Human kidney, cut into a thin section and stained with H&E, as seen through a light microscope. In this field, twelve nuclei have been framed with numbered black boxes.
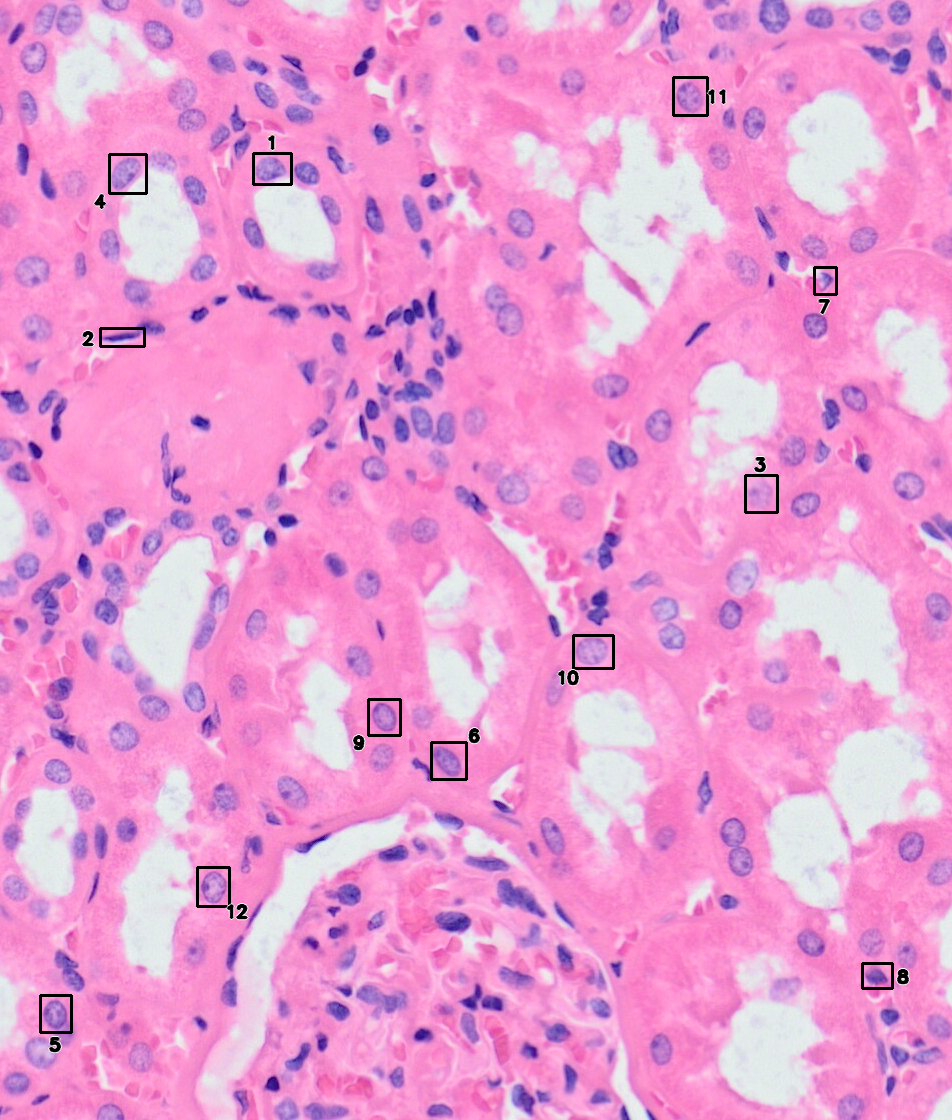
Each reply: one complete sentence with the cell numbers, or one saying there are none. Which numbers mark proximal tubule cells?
In this section, the cells labelled 3, 5, 6, 9, 10, 11 and 12 are proximal tubule cells.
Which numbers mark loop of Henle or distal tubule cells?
The cells that bear the numbers 1 and 4 are loop of Henle or distal tubule cells.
